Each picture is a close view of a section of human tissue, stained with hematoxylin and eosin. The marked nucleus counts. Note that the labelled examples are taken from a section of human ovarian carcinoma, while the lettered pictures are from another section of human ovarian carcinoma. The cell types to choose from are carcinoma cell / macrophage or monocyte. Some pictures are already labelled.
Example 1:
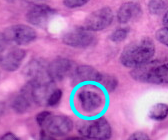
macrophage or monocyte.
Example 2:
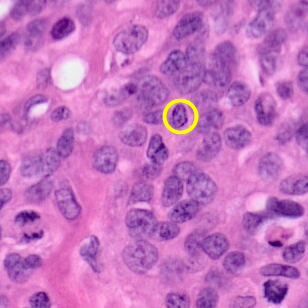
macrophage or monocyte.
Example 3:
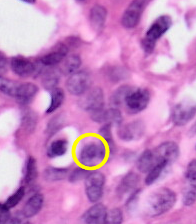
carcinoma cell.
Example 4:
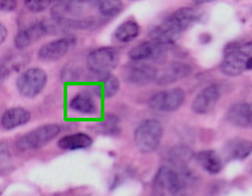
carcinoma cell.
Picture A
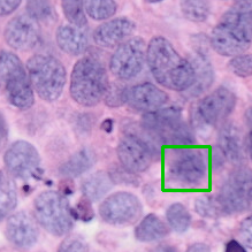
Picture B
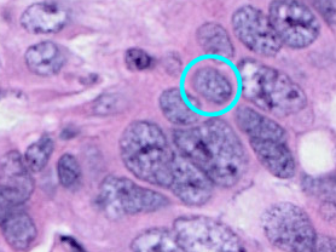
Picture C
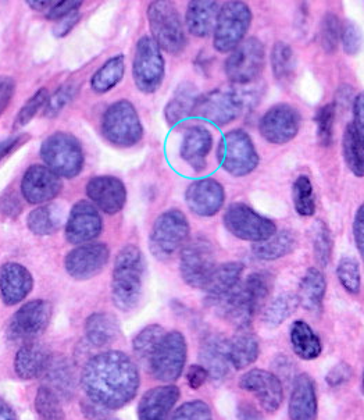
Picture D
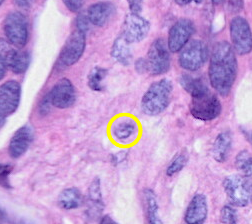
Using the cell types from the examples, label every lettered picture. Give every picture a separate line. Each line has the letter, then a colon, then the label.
A: carcinoma cell.
B: carcinoma cell.
C: carcinoma cell.
D: macrophage or monocyte.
